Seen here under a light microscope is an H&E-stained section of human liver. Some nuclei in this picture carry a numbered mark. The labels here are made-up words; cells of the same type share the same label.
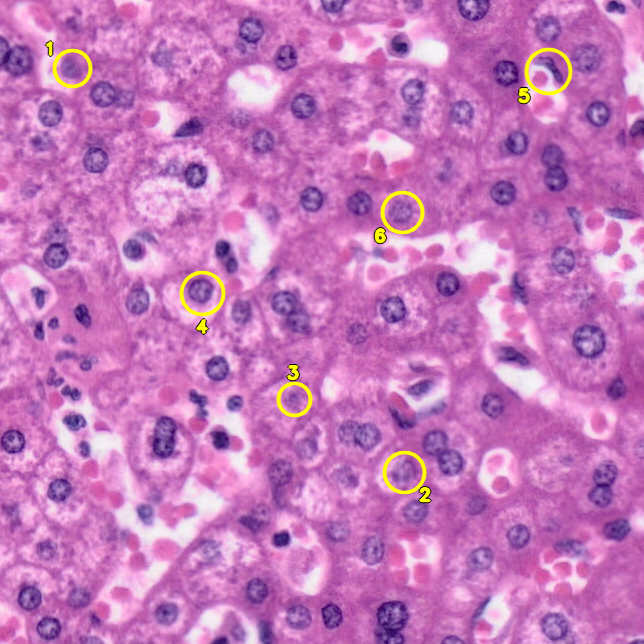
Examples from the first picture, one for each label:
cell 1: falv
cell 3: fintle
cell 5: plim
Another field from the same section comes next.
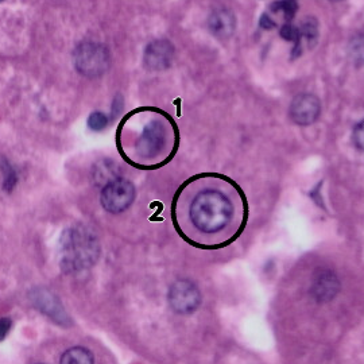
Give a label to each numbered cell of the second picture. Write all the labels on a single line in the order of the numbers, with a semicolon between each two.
plim; fintle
